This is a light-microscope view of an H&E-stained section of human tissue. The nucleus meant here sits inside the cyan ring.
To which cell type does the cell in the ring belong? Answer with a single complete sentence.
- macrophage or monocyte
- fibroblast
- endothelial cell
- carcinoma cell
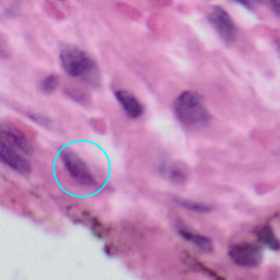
To be brief about it, the cell in the ring is a fibroblast.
